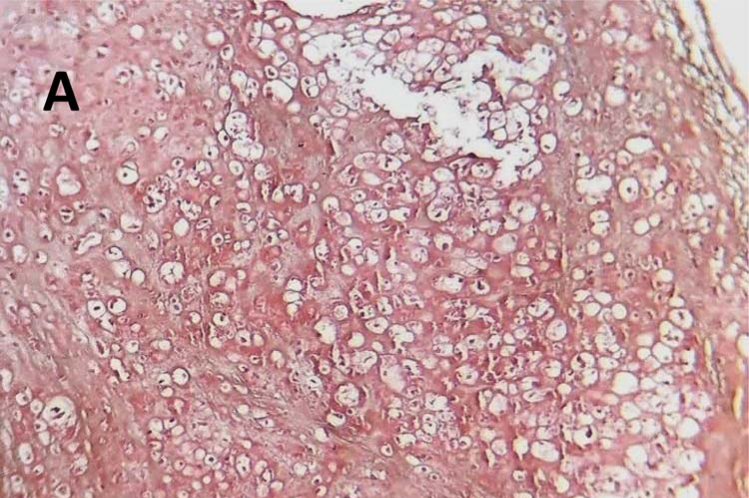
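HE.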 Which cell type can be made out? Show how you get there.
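Many rounded cells sit singly or in pairs inside clear rounded spaces (lacunae).
Hence: chondrocyte.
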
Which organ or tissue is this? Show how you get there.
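Cartilaginous background. Cells lie in lacunae embedded in this matrix.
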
